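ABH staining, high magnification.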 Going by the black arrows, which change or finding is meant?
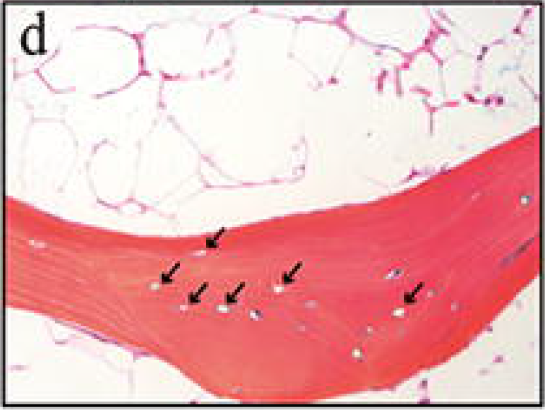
empty lacunae of osteocytes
